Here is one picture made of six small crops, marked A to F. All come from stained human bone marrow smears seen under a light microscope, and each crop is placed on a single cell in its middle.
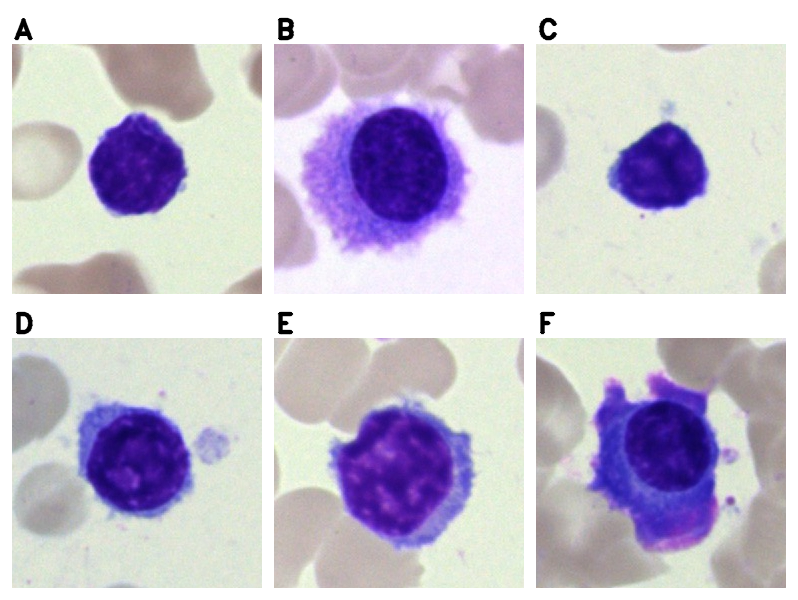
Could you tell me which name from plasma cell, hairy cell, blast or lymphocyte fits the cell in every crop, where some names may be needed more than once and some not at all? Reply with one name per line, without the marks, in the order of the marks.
lymphocyte
hairy cell
lymphocyte
lymphocyte
lymphocyte
plasma cell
